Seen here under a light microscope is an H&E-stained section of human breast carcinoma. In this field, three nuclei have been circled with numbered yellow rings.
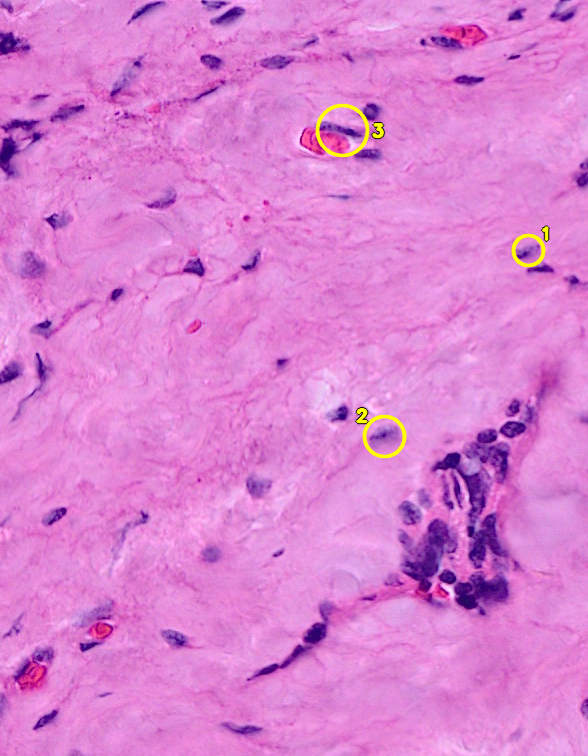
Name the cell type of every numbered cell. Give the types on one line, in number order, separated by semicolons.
fibroblast; fibroblast; endothelial cell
